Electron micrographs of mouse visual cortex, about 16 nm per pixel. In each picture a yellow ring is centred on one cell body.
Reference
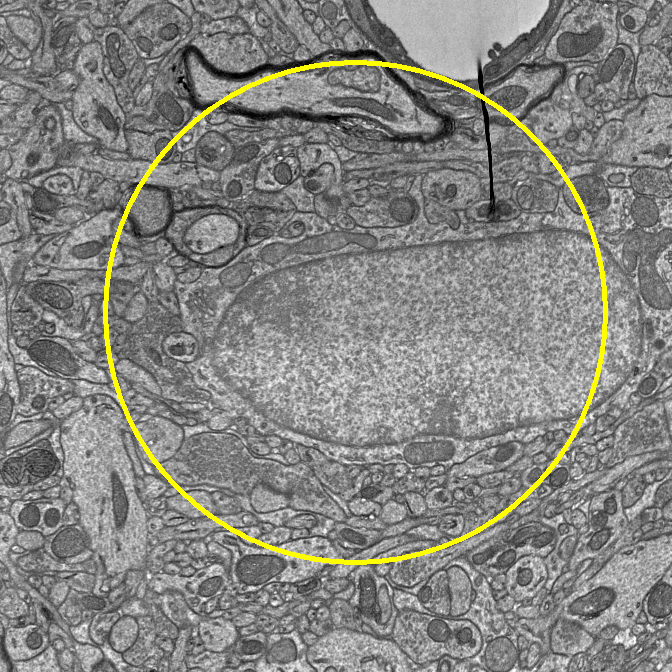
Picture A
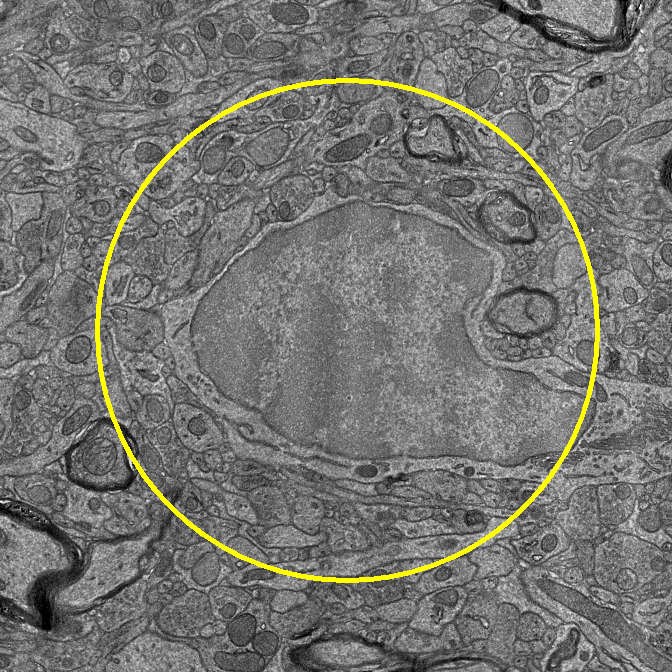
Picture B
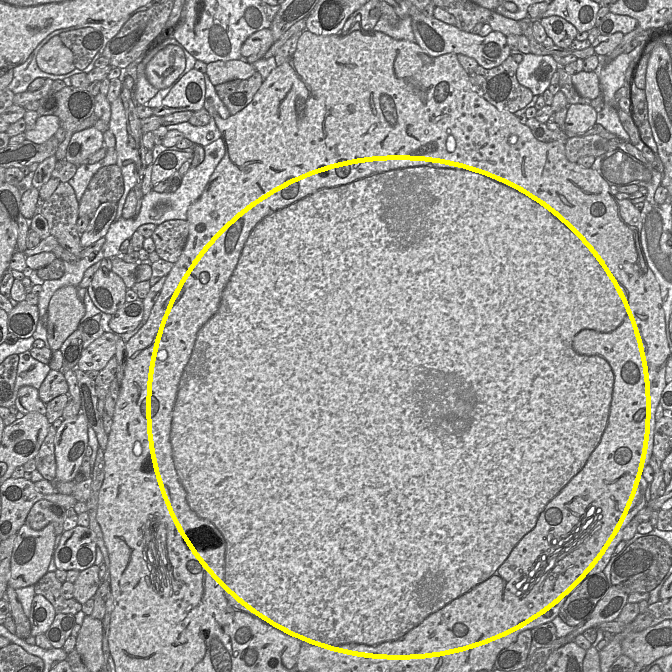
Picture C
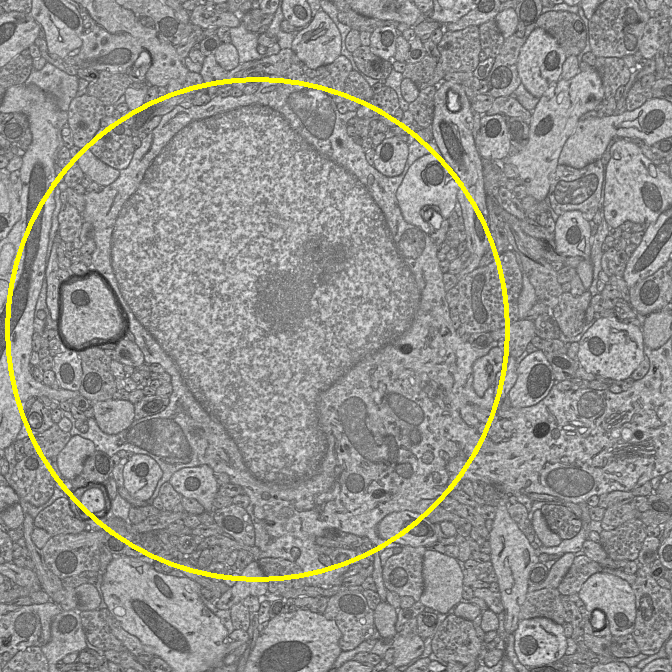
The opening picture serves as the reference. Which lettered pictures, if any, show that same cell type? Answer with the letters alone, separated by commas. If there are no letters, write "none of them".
C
